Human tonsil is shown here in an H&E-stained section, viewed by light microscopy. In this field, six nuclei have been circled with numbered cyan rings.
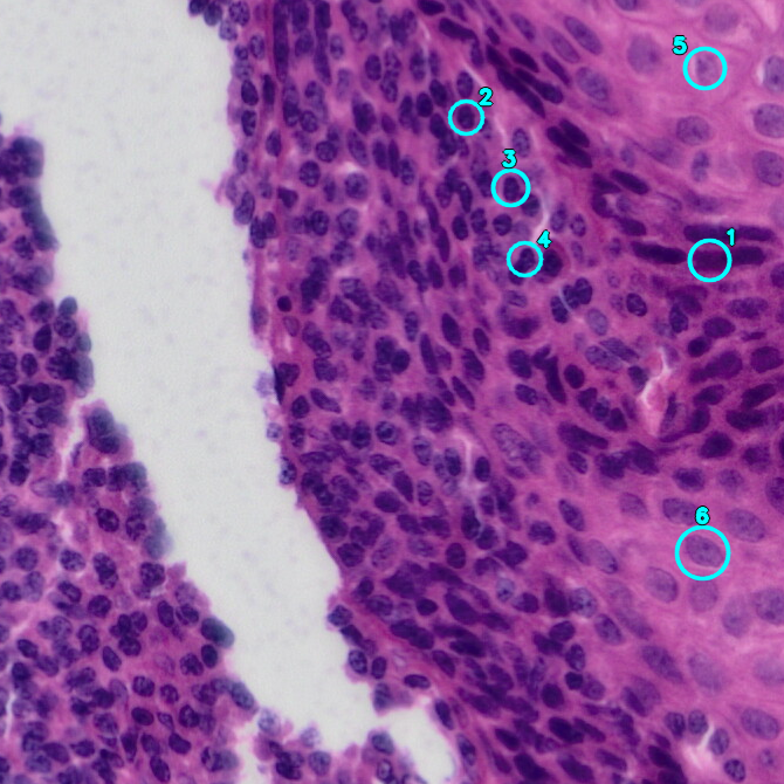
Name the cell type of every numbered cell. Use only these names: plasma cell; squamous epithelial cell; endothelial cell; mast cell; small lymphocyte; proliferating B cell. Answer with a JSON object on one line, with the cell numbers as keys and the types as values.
{"1": "squamous epithelial cell", "2": "plasma cell", "3": "plasma cell", "4": "plasma cell", "5": "squamous epithelial cell", "6": "squamous epithelial cell"}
